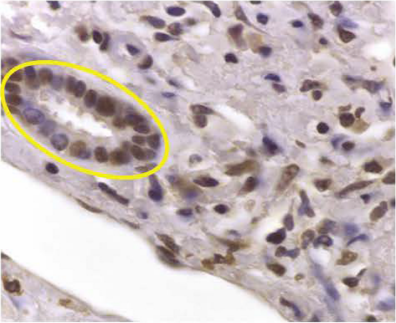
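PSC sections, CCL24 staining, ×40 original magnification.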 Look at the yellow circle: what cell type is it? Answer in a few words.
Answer: Cholangiocytes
